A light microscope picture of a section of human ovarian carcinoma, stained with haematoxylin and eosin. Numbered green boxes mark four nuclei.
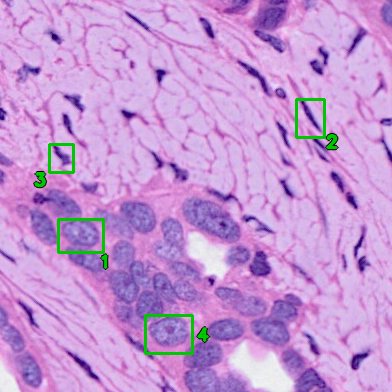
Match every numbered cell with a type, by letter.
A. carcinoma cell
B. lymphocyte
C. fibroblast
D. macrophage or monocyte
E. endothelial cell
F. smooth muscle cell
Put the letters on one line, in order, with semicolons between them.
A; C; C; A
